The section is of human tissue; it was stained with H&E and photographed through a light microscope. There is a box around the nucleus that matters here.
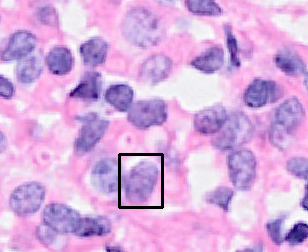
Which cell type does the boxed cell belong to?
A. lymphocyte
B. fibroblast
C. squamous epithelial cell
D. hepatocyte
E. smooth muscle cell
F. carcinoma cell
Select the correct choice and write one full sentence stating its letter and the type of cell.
In this case the boxed cell is a carcinoma cell, so option F is correct.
